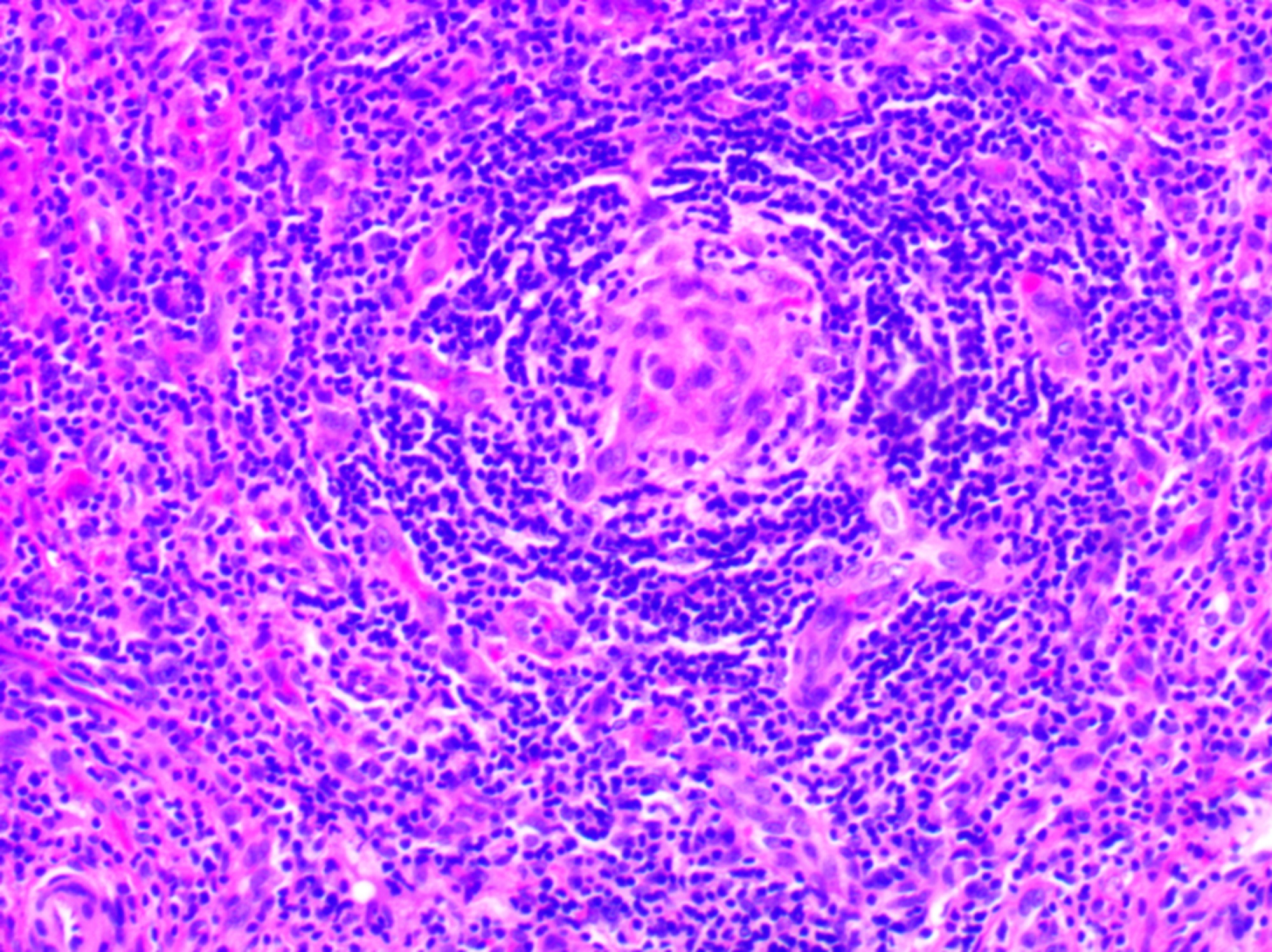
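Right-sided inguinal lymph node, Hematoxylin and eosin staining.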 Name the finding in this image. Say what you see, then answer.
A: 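“onion-skinning” of the mantle cells. Small dark round lymphocytes are arranged in concentric rings around a central pale area. The rings form a layered, target-like zone around the follicle centre.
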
